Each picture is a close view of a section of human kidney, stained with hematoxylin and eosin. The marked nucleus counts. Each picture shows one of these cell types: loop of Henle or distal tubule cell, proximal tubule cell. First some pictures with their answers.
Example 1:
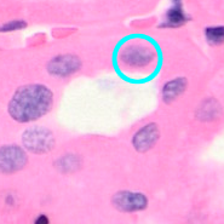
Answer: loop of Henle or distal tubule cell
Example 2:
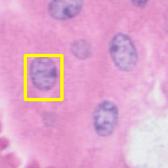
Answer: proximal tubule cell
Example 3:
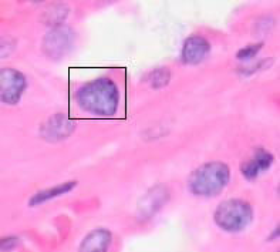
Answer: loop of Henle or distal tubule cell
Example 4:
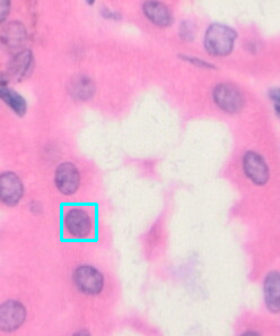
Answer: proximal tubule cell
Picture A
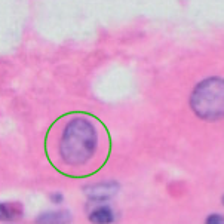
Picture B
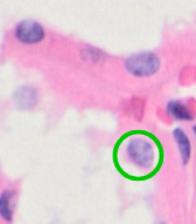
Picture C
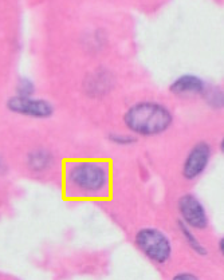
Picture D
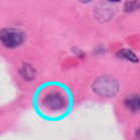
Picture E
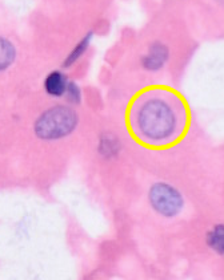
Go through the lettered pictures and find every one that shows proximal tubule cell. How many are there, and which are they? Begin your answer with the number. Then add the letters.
2, namely A, E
